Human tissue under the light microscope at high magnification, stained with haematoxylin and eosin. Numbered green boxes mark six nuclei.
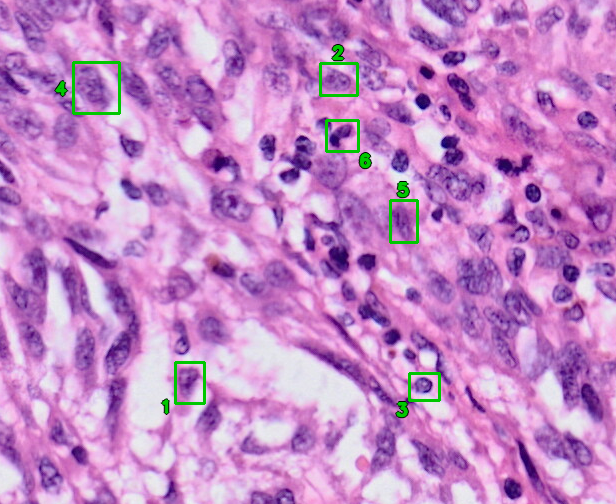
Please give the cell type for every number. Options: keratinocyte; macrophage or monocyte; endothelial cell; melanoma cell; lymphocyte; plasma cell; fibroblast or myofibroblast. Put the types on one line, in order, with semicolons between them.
melanoma cell; melanoma cell; lymphocyte; melanoma cell; melanoma cell; lymphocyte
